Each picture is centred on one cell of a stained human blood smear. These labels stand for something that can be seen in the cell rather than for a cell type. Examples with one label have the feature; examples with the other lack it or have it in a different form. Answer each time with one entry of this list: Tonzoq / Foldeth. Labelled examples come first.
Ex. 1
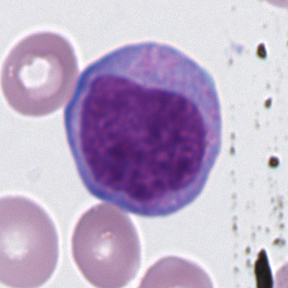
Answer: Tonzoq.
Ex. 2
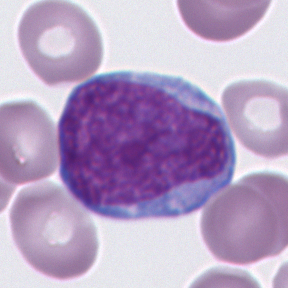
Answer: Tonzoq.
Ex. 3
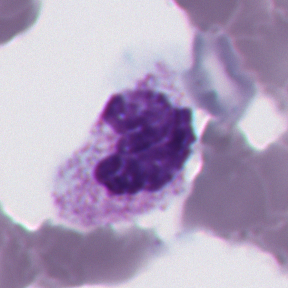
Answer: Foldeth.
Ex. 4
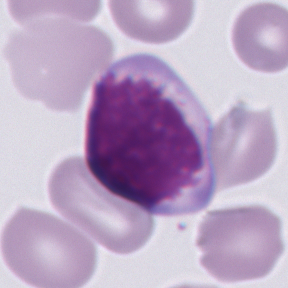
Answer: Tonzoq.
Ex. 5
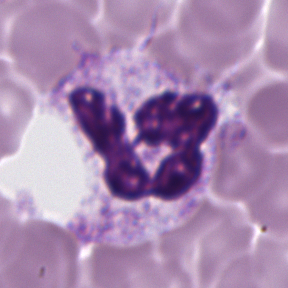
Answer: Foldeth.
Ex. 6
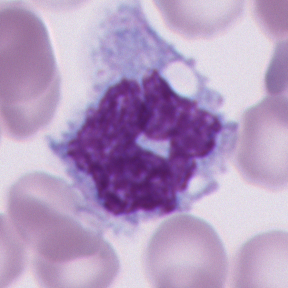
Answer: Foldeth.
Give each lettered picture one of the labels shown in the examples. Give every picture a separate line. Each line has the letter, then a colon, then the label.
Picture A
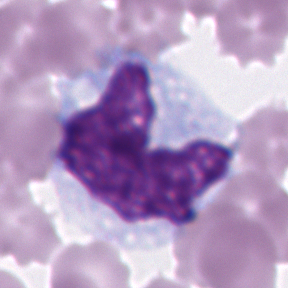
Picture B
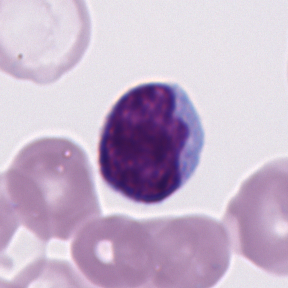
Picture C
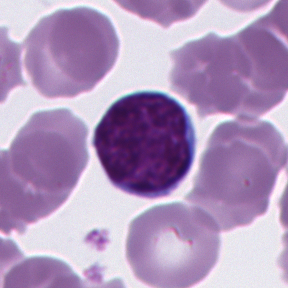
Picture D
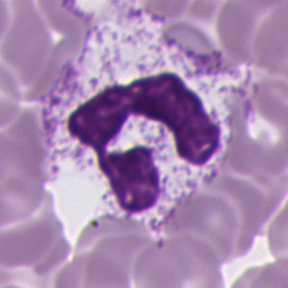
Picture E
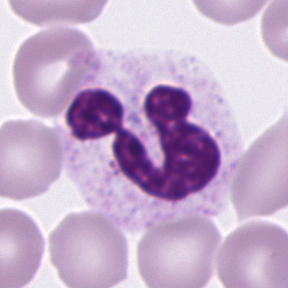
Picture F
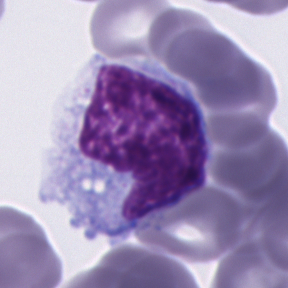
A: Foldeth.
B: Tonzoq.
C: Tonzoq.
D: Foldeth.
E: Tonzoq.
F: Foldeth.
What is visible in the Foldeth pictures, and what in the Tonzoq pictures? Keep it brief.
Seen in Foldeth: ragged outline or projections; seen in Tonzoq: smooth outline.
